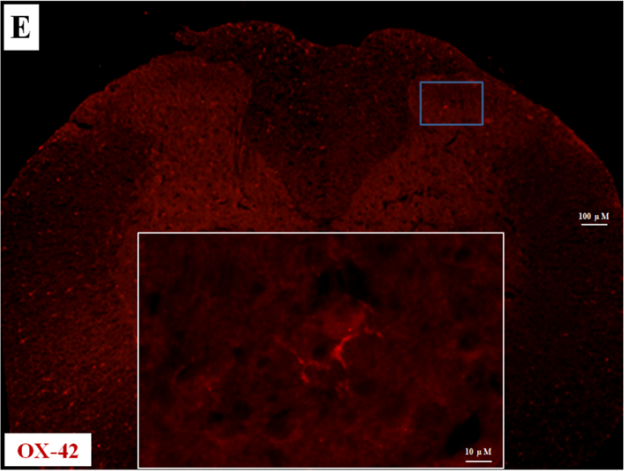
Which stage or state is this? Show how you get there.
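The inset shows a single faintly labeled cell with thin branching processes.
A resting type morphology.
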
